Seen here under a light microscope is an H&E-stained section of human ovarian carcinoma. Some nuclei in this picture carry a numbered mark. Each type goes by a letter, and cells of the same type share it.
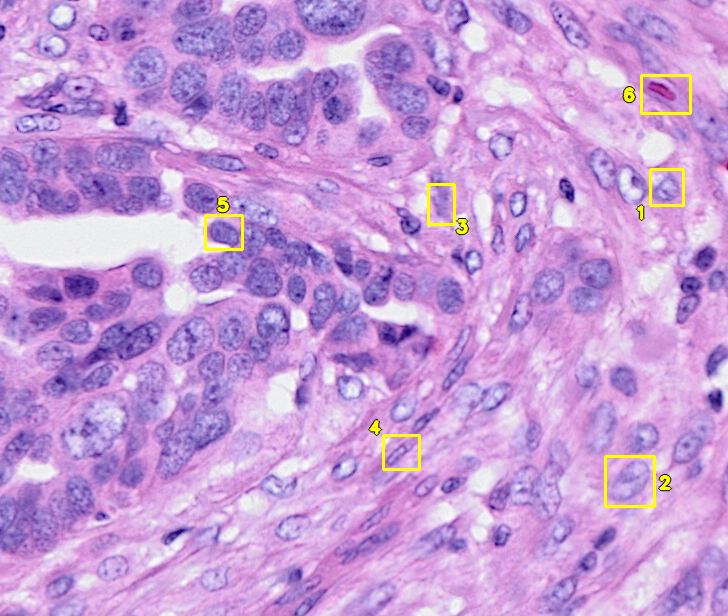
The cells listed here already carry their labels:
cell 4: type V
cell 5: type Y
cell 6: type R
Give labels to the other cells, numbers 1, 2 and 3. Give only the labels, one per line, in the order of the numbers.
type V
type V
type V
